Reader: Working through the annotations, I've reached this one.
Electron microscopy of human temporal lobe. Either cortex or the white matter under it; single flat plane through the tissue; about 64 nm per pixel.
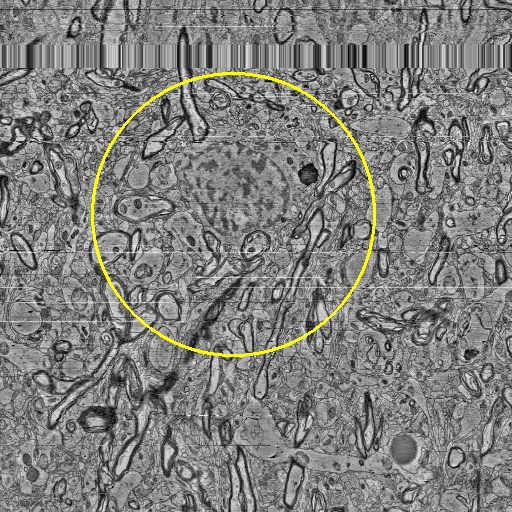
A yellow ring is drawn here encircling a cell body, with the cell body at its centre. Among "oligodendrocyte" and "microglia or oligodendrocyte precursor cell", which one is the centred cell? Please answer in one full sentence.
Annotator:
The cell body at the centre of the yellow ring in this image belongs to an oligodendrocyte.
